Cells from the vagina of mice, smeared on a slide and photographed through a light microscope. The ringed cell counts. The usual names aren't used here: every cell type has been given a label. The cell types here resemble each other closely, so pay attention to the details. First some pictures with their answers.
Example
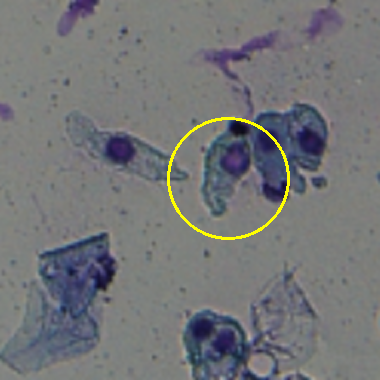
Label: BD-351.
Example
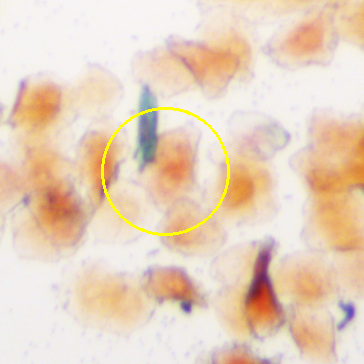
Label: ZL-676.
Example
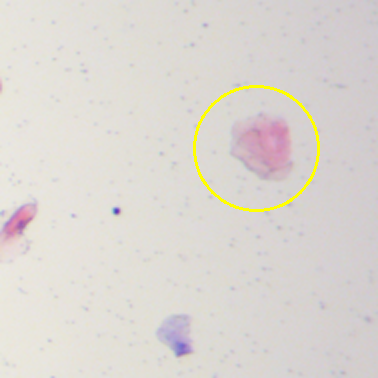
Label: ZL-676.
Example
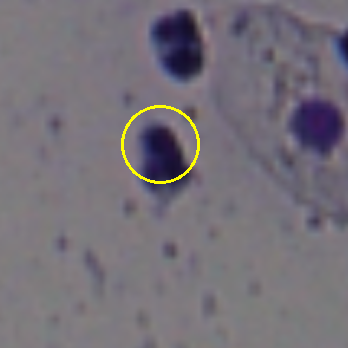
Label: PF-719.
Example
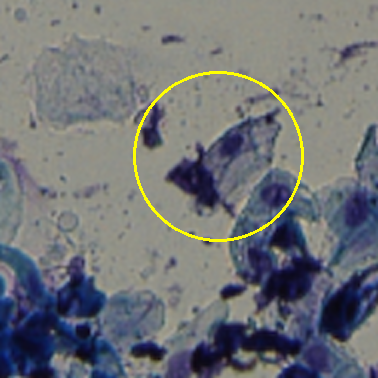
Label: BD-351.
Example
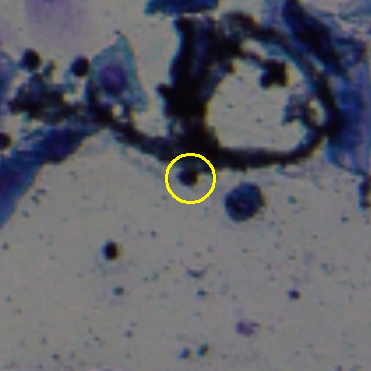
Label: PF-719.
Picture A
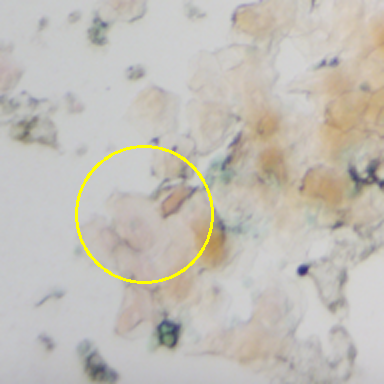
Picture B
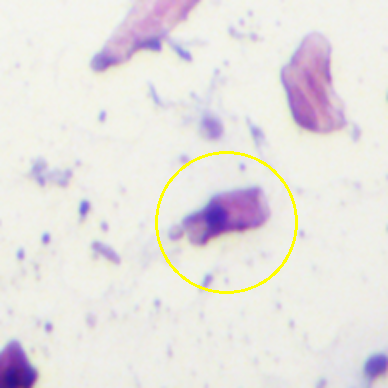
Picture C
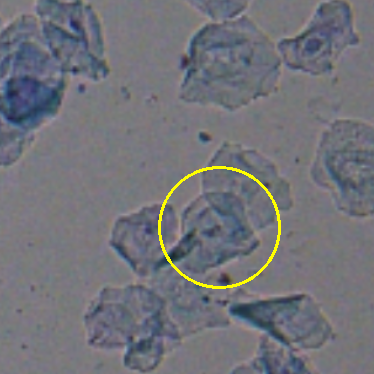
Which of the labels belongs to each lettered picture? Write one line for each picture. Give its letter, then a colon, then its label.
A: ZL-676.
B: BD-351.
C: ZL-676.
